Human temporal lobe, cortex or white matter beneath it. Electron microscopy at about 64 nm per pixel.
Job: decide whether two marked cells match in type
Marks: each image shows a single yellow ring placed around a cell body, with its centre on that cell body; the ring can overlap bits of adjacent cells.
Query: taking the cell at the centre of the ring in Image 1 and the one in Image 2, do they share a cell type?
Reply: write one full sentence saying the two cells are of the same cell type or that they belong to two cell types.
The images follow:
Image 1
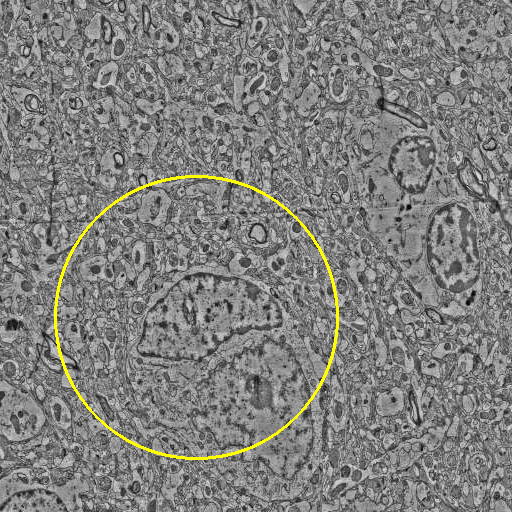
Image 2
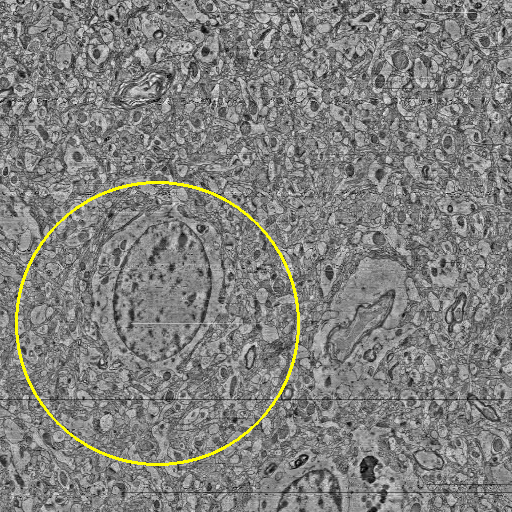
The cells at the ring centres in Image 1 and Image 2 belong to two cell types.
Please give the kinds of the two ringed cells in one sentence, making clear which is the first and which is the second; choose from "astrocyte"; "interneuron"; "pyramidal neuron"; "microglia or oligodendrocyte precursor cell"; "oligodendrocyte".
In the second picture the ringed cell is an astrocyte; in the first it is a microglial cell or oligodendrocyte precursor cell.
